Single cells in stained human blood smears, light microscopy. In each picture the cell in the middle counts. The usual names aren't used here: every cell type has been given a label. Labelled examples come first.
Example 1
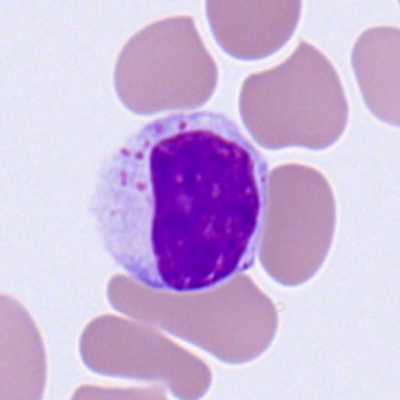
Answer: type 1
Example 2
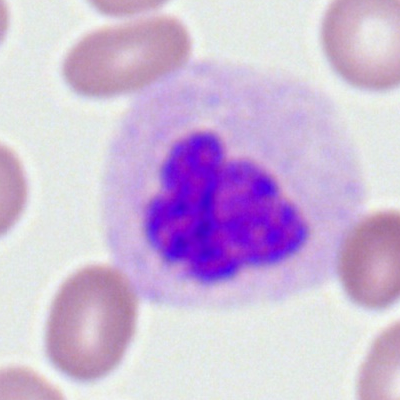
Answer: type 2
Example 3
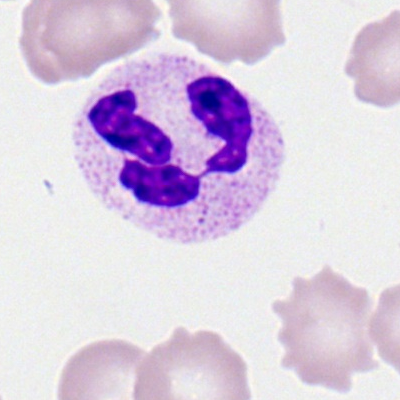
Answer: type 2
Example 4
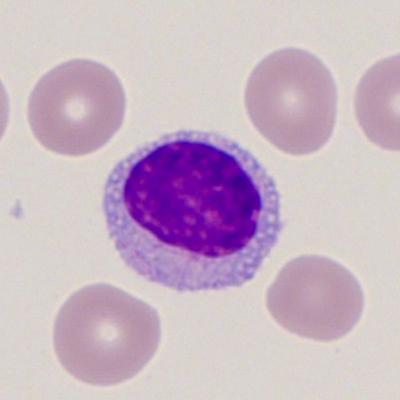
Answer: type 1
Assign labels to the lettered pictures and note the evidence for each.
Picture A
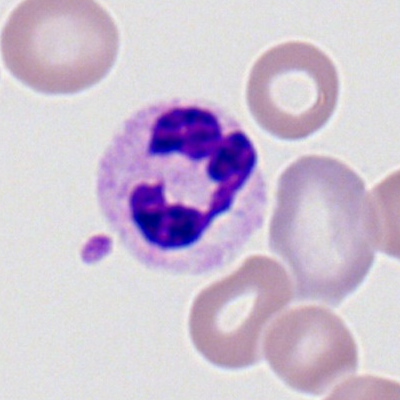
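Label: type 2. The cytoplasm is abundant and pale pink-lilac.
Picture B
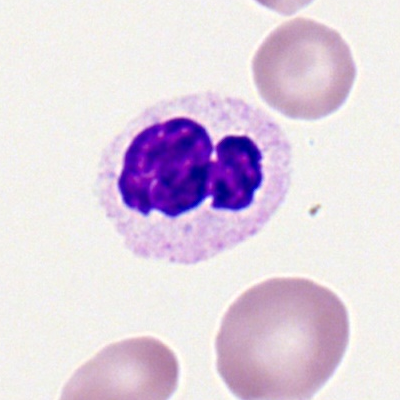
Label: type 2. The nucleus is divided into two lobes.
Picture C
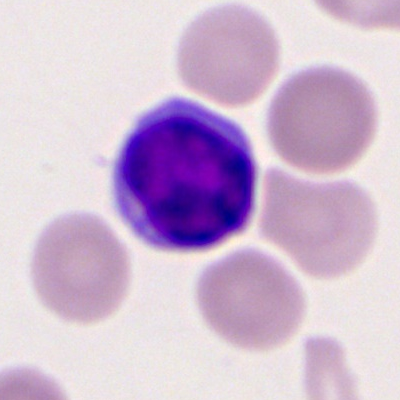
Label: type 1. The nucleus fills most of the cell.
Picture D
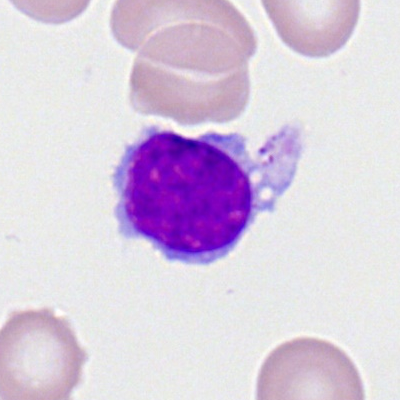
Label: type 1. The cytoplasm is scanty and pale blue, forming a thin rim around most of the nucleus.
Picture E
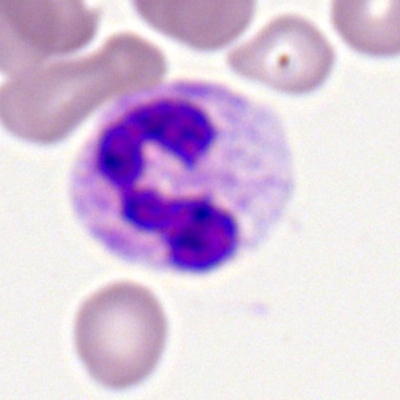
Label: type 2. The cytoplasm is plentiful and pale pinkish-lilac.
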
